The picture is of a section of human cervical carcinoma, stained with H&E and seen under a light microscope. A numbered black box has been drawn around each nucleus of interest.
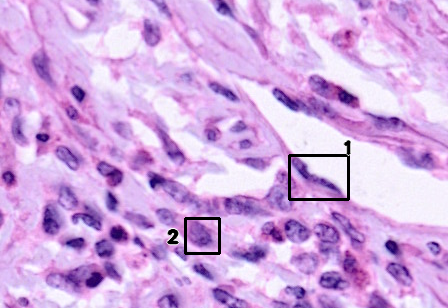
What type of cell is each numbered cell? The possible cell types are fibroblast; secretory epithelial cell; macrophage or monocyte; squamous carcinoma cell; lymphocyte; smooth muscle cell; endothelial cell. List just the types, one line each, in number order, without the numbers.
endothelial cell
macrophage or monocyte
